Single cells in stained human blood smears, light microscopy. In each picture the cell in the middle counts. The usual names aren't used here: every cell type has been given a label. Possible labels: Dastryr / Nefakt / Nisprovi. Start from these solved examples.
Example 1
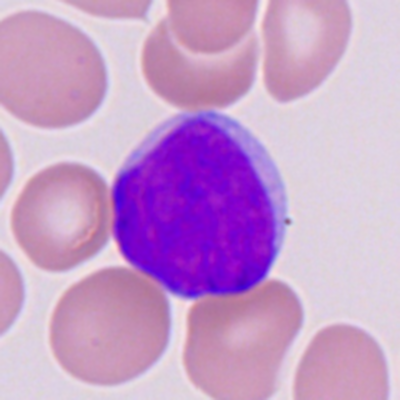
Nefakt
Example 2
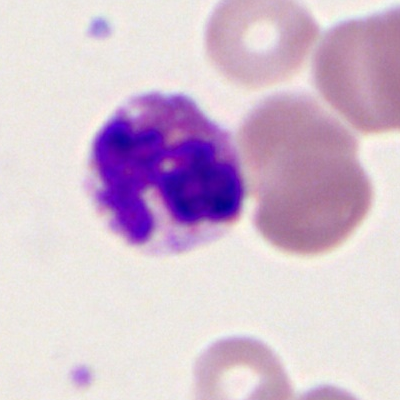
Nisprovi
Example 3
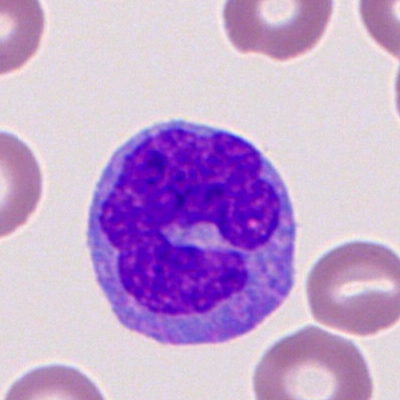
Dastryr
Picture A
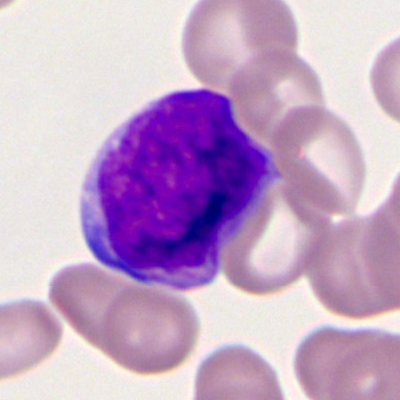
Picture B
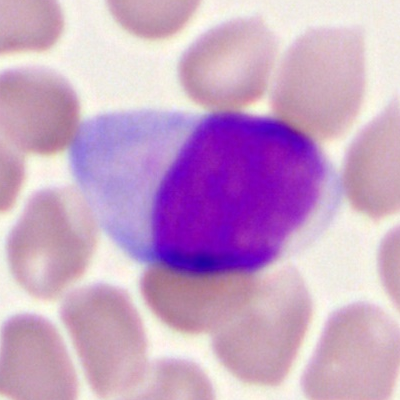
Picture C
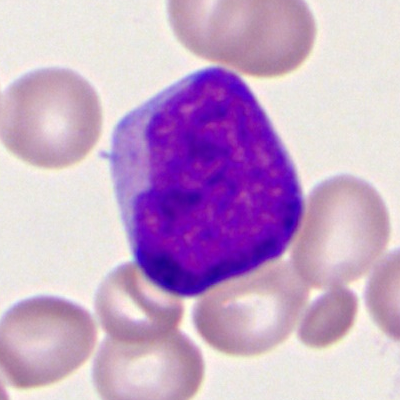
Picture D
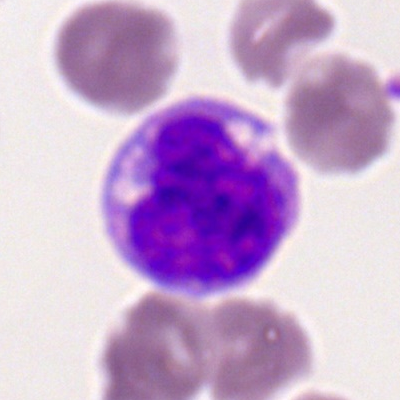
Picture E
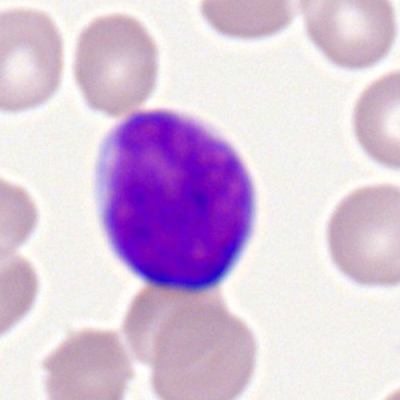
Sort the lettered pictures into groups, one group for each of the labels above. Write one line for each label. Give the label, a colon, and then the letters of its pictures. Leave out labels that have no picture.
Dastryr: D
Nefakt: A, B, C, E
